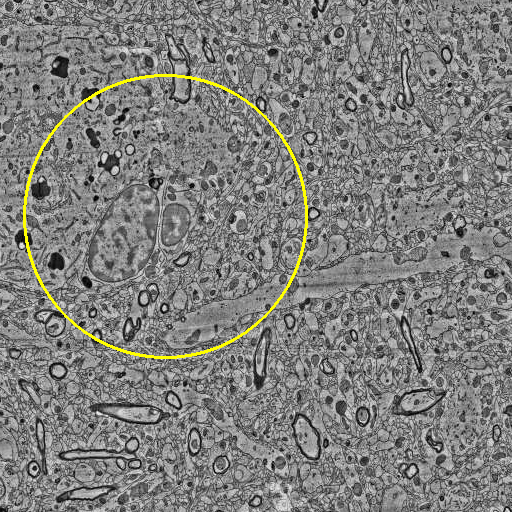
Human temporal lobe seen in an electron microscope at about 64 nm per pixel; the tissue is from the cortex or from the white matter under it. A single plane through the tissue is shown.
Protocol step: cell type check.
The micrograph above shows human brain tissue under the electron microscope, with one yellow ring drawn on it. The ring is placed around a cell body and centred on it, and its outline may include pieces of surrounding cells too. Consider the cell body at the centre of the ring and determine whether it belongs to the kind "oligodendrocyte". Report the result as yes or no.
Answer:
no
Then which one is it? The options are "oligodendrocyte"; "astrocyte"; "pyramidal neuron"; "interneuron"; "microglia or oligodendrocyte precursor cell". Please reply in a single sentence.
The ring holds a microglial cell or oligodendrocyte precursor cell at its centre.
